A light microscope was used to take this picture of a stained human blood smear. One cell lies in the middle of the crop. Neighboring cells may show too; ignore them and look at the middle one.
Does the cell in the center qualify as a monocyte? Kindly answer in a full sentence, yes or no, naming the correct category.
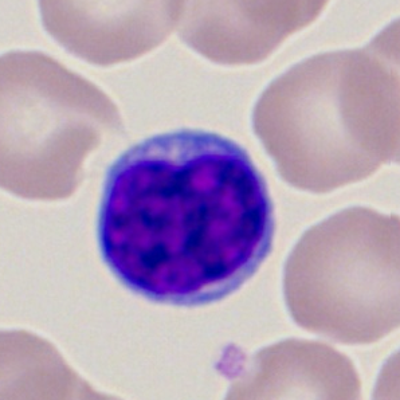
No, a lymphocyte, not a monocyte, is what sits in the centre of the crop.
